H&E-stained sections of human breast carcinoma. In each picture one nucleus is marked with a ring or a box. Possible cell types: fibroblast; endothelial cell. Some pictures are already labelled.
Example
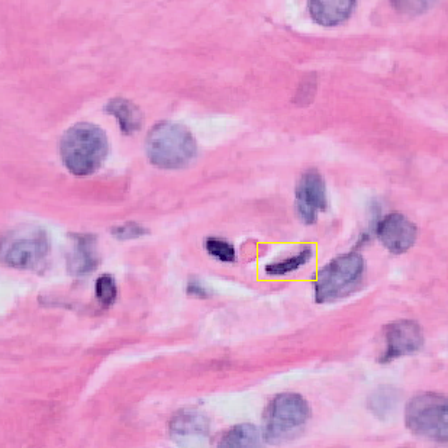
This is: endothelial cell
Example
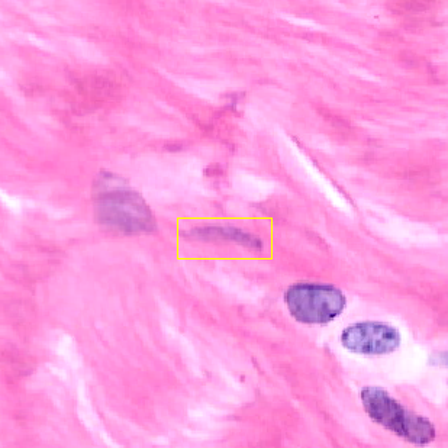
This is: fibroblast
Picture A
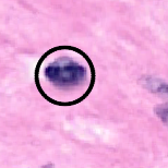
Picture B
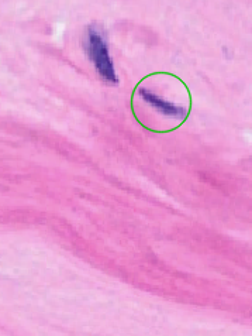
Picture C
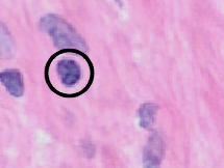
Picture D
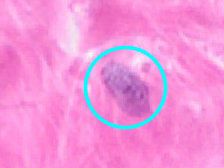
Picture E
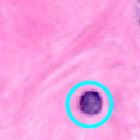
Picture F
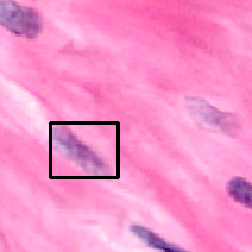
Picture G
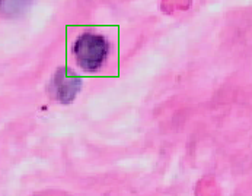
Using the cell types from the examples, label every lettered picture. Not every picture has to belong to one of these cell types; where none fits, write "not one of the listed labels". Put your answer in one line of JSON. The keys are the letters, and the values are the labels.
{"A": "not one of the listed labels", "B": "fibroblast", "C": "not one of the listed labels", "D": "fibroblast", "E": "not one of the listed labels", "F": "fibroblast", "G": "not one of the listed labels"}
